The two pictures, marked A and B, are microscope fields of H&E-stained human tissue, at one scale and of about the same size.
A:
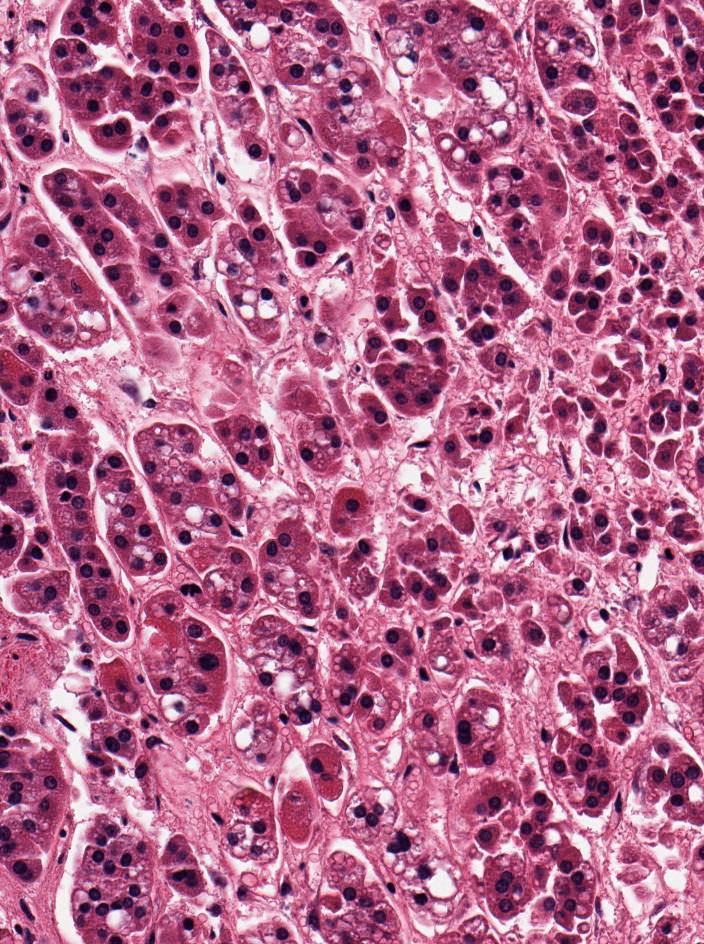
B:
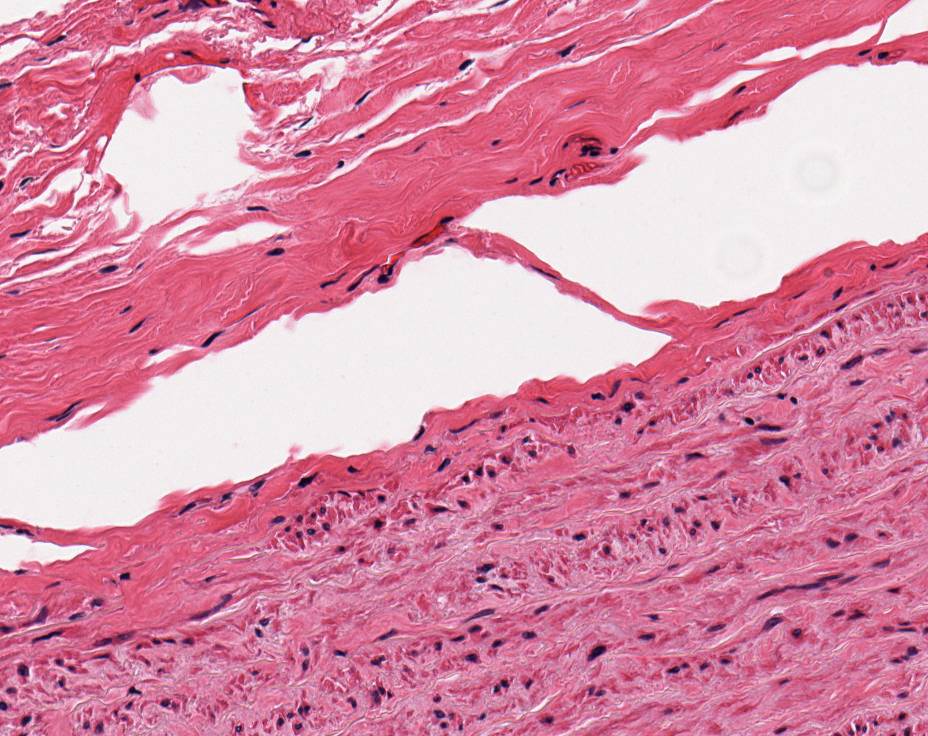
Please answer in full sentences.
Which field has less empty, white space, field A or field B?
Field A has less white space.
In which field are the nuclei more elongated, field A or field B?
It is field B whose nuclei are the more elongated.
